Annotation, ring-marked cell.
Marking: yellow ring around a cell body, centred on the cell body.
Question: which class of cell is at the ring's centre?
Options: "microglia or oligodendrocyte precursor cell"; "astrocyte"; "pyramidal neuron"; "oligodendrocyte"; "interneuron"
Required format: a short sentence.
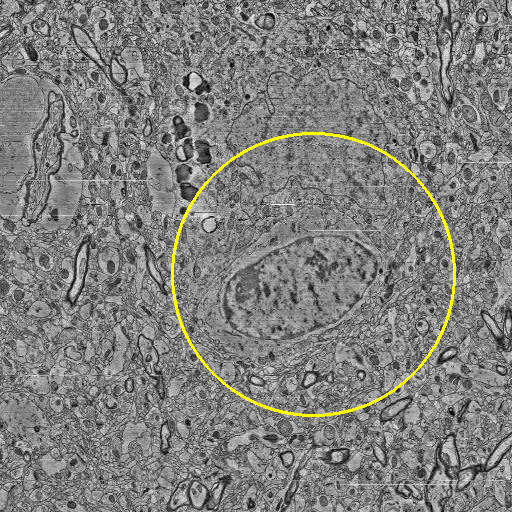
At the ring's centre is a microglial cell or oligodendrocyte precursor cell.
